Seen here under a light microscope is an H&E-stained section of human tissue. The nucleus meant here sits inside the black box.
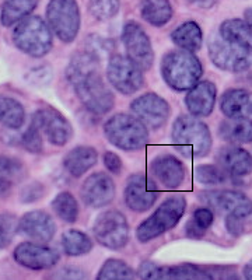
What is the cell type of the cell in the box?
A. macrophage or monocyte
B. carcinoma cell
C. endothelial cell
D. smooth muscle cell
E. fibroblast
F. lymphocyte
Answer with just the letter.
B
